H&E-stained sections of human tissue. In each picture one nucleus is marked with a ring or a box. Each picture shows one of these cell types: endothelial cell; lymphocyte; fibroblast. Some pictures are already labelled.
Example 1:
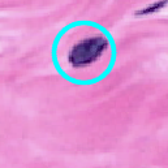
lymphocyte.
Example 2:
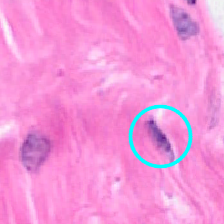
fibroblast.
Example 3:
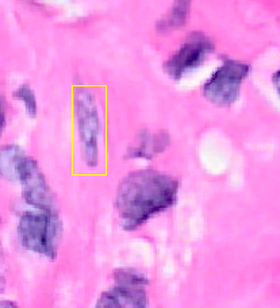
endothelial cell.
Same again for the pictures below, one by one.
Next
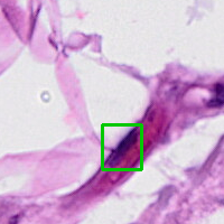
endothelial cell.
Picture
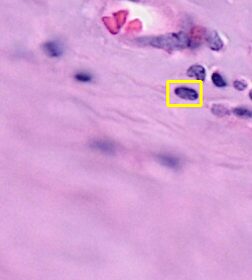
lymphocyte.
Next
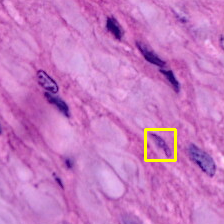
fibroblast.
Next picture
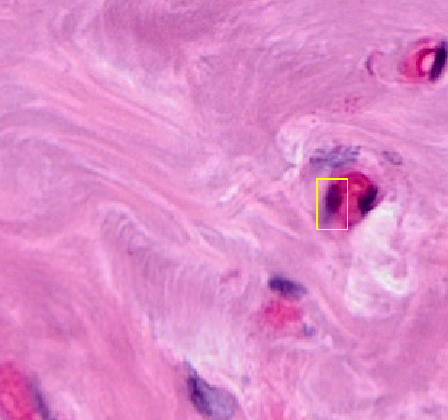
endothelial cell.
